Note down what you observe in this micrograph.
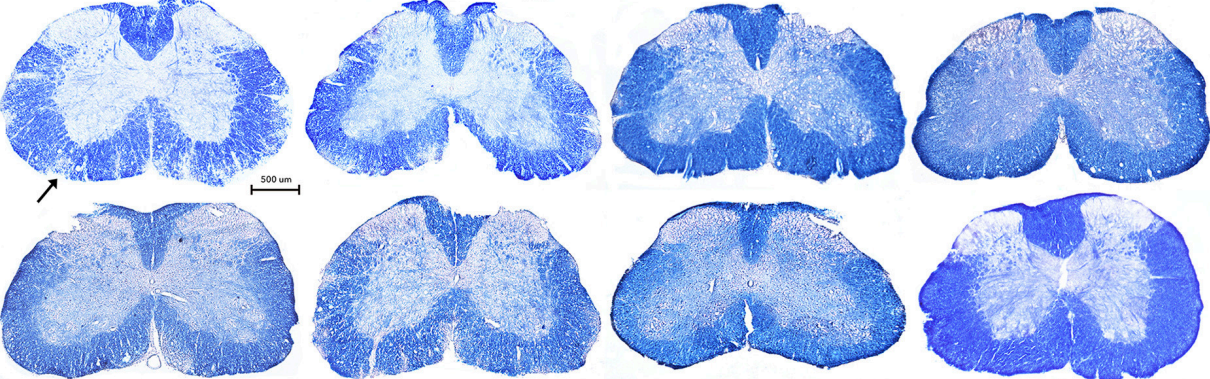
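Coronal sections of lumbar spinal cord, in two rows of four, show a pale butterfly-shaped central grey matter surrounded by blue-stained white matter. The intensity of the white-matter stain differs between sections: some have uniformly dark blue white matter, while others show paler, patchy areas, especially along the ventral and lateral margins. A black arrow at the lower left of the first section points to such a pale area at the edge of the white matter.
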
